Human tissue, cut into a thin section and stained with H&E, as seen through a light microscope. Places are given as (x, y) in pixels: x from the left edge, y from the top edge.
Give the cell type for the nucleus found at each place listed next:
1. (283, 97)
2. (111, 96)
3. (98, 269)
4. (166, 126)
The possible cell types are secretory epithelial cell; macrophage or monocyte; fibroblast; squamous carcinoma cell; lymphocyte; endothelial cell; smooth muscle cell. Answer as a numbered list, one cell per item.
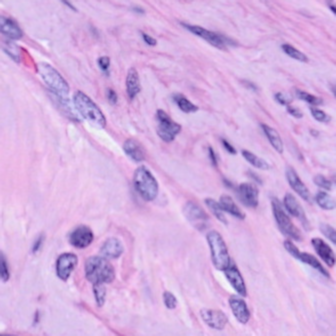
1. smooth muscle cell
2. smooth muscle cell
3. endothelial cell
4. smooth muscle cell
